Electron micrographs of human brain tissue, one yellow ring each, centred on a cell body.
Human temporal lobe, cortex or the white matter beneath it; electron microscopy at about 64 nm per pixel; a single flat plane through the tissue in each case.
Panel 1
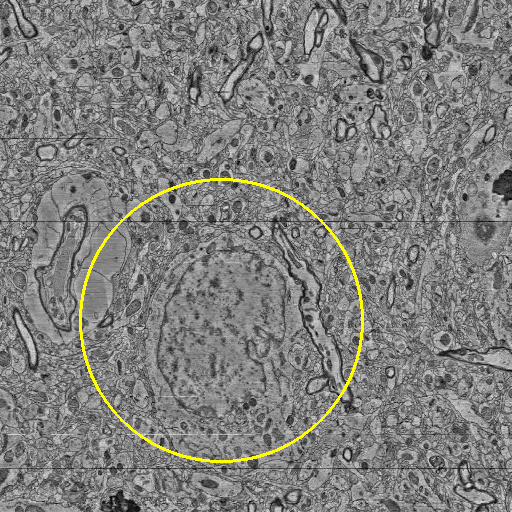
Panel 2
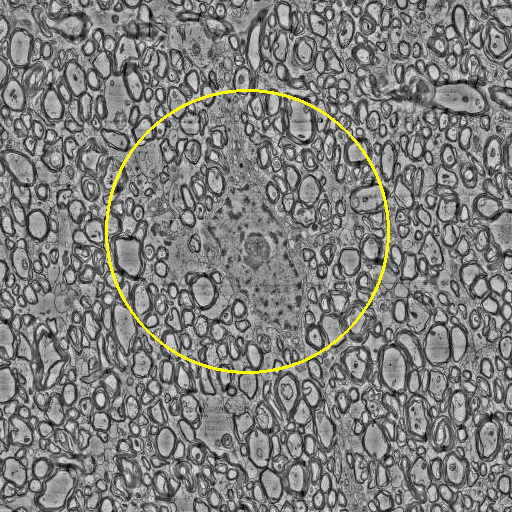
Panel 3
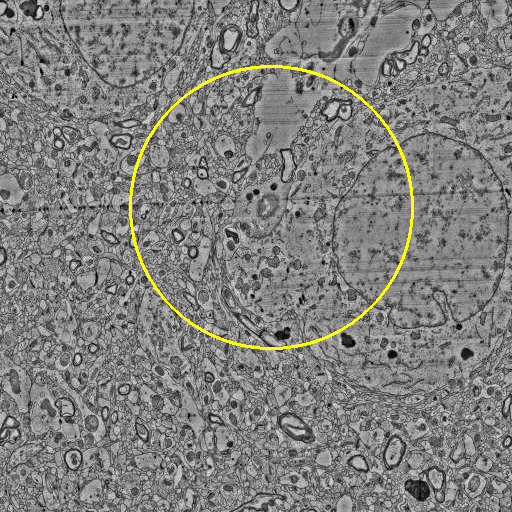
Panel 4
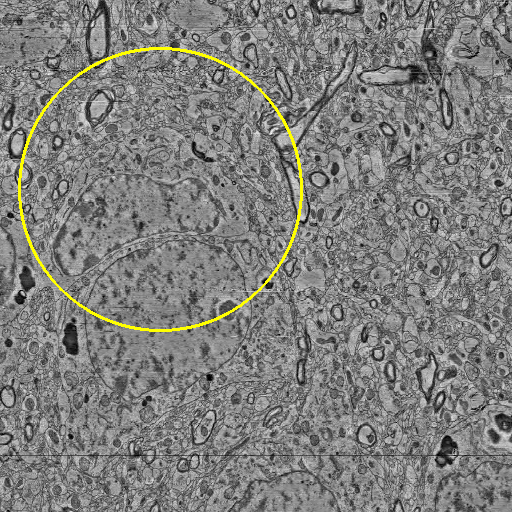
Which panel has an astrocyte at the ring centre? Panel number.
2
